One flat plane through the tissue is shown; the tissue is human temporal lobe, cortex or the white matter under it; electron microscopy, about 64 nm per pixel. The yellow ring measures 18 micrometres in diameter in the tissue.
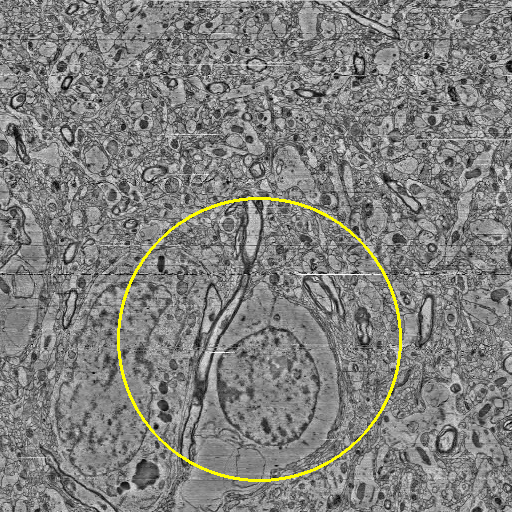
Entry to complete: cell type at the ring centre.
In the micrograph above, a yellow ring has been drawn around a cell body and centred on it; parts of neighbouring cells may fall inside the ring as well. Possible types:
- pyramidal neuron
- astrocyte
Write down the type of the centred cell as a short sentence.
The ring is centred on an astrocyte.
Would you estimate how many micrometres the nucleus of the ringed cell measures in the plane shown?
In this plane the nucleus spans approximately 8 by 6 micrometers.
